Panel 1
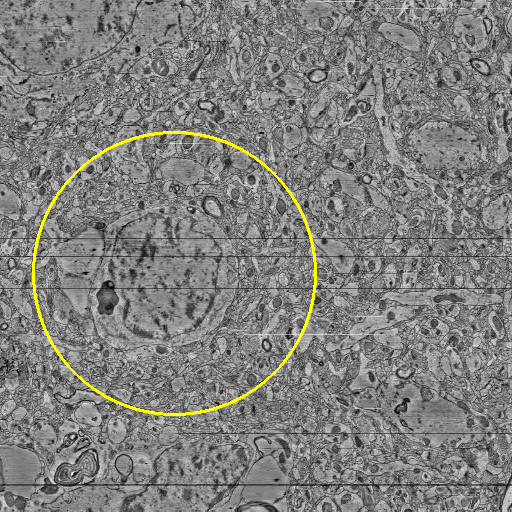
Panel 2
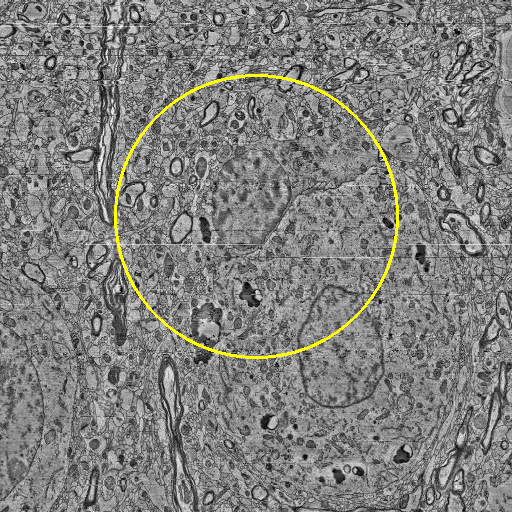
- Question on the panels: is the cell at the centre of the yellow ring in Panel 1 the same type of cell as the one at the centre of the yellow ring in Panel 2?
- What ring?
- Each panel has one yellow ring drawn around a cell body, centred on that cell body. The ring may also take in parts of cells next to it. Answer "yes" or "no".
no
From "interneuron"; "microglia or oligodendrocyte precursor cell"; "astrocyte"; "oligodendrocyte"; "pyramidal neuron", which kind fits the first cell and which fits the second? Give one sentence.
The cell marked in the first picture is an interneuron, and the one marked in the second is an oligodendrocyte.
